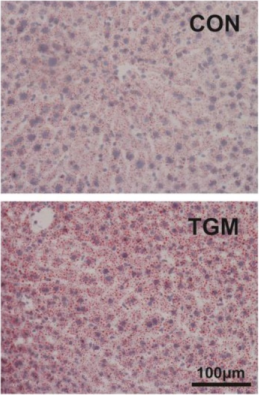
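These are sections of liver in which polygonal hepatocytes, each with a round blue-stained nucleus, form cords around small vascular spaces. Their cytoplasm holds fine red-stained droplets. In the lower image the red droplets are denser and more widespread than in the upper one.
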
